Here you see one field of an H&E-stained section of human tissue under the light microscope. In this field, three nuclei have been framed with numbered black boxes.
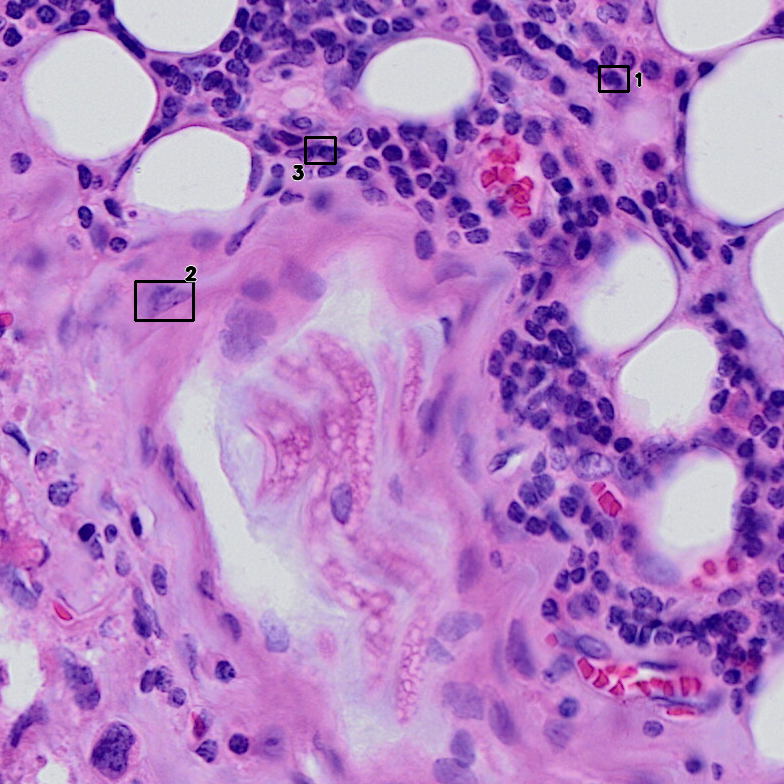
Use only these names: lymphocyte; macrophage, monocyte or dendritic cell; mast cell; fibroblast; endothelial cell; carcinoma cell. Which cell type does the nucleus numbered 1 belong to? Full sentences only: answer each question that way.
Cell 1 is classified as a lymphocyte.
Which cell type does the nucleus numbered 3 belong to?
The cell indicated by marker 3 is a lymphocyte in this section.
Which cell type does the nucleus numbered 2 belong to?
Recognised here as a fibroblast is the cell numbered 2.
